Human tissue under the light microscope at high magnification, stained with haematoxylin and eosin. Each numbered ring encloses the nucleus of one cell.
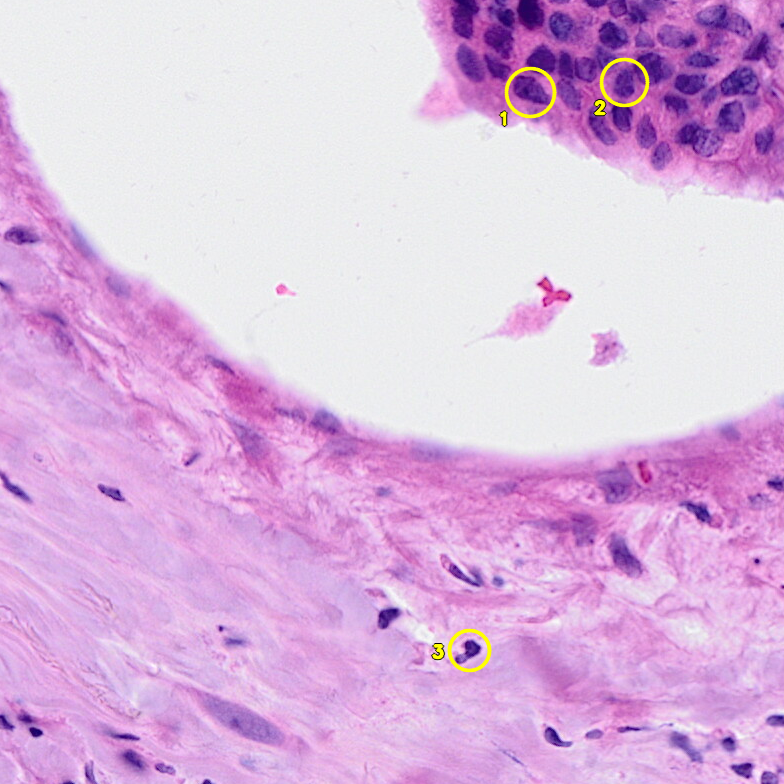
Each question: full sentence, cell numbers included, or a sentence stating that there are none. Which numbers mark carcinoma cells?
In this section, the cells labelled 1 and 2 are carcinoma cells.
